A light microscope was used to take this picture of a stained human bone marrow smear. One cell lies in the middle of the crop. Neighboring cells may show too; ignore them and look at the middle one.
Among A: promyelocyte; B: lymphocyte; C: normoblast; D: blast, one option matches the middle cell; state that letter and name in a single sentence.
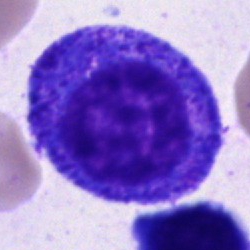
Well, the cell in the middle is a promyelocyte, making option A right.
